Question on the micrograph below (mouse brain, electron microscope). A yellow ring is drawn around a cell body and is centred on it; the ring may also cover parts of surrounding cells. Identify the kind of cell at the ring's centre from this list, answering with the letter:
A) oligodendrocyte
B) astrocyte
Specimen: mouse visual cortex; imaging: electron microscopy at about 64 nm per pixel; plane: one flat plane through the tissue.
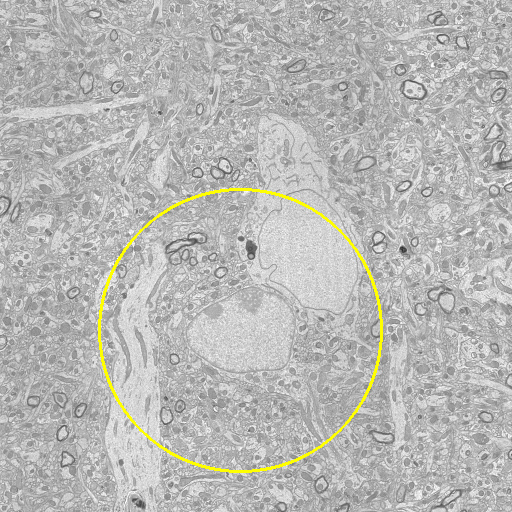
B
